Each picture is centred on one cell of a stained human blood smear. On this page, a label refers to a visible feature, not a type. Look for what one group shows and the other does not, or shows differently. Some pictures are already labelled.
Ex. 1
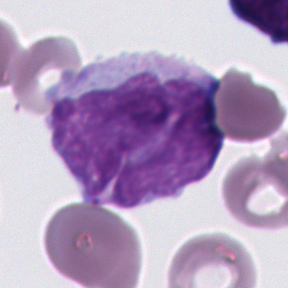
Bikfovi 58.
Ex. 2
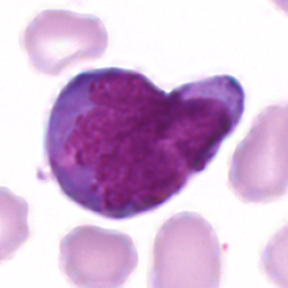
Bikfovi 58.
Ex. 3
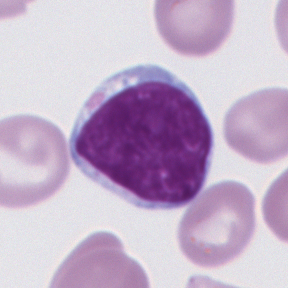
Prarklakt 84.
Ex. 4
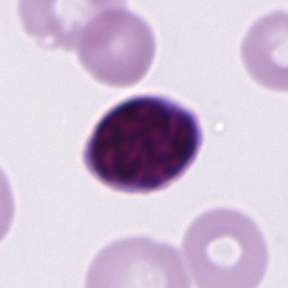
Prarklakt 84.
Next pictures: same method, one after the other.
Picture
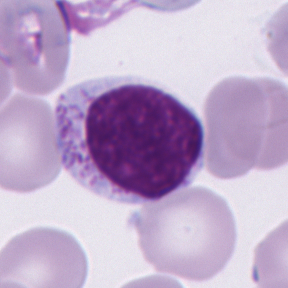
Prarklakt 84.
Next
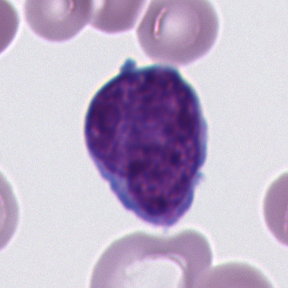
Bikfovi 58.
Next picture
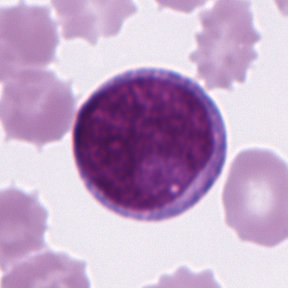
Prarklakt 84.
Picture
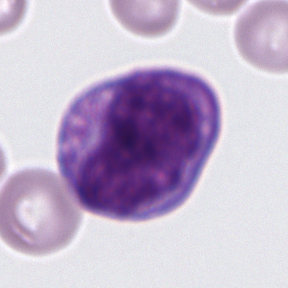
Prarklakt 84.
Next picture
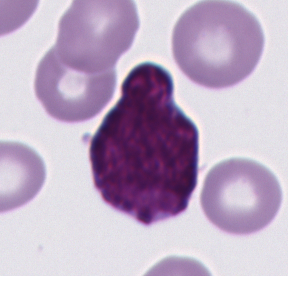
Bikfovi 58.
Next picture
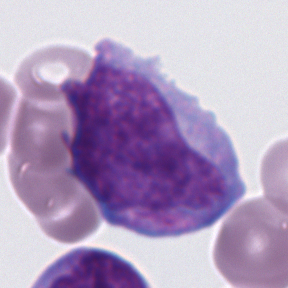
Bikfovi 58.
